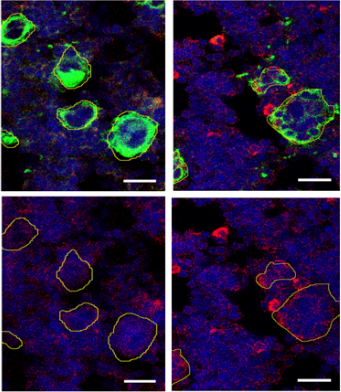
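Bone marrow in which several large megakaryocytes, each several times the size of the neighbouring cells, lie among densely packed small cells with round blue nuclei. The megakaryocytes show a green rim and speckled green cytoplasm in the upper images and are traced in yellow below, where their cytoplasm carries faint red granular staining.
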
